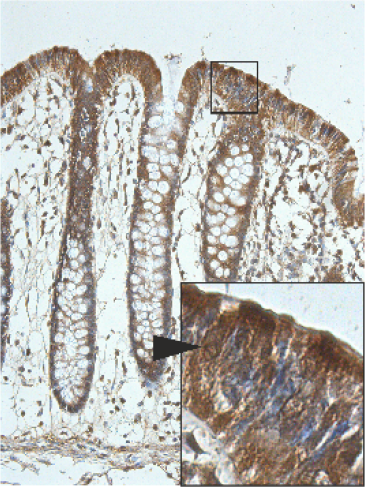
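This is healthy colonic mucosa, with straight crypts running down from the surface and lined by columnar epithelium. Many goblet cells with pale, rounded mucin vacuoles fill the crypt walls. The epithelium, especially at the surface, shows brown staining in the cytoplasm. Between the crypts lies a loose lamina propria with scattered small cells. In the enlarged inset the columnar cells have brown cytoplasm and blue-grey nuclei set toward the base of the cells.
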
